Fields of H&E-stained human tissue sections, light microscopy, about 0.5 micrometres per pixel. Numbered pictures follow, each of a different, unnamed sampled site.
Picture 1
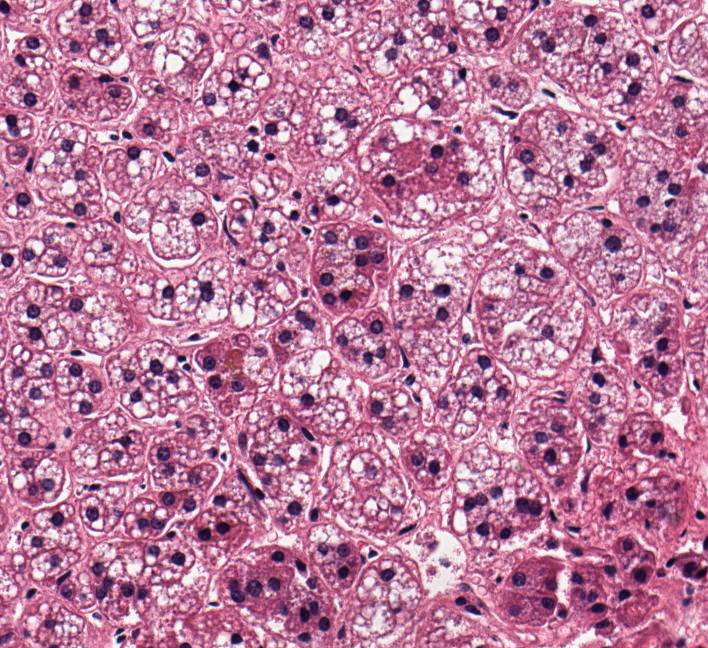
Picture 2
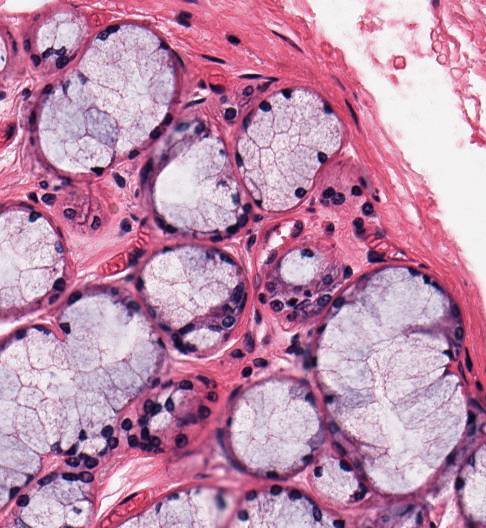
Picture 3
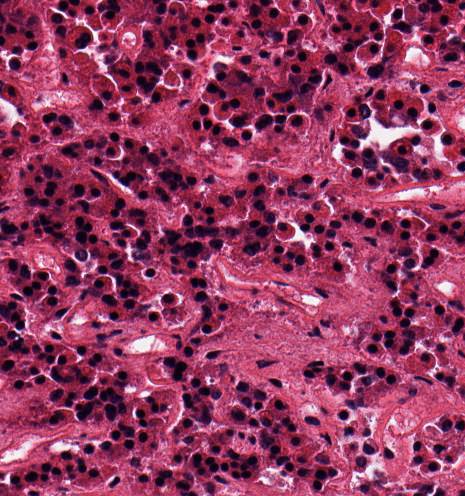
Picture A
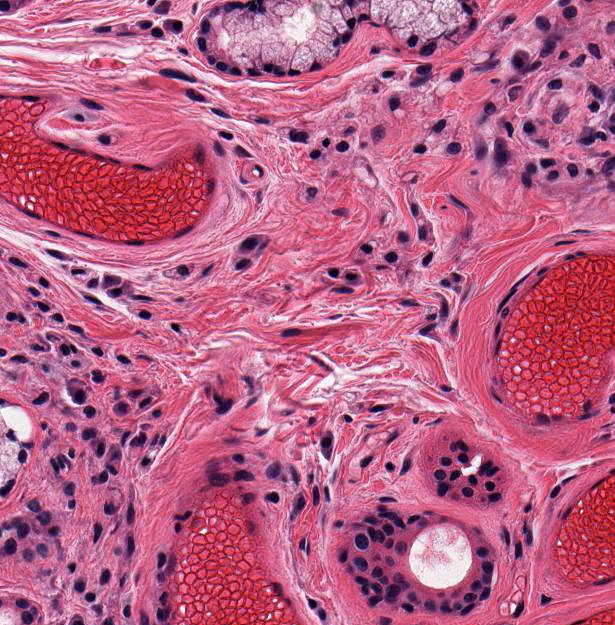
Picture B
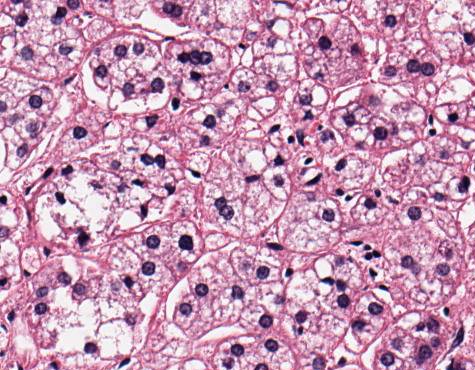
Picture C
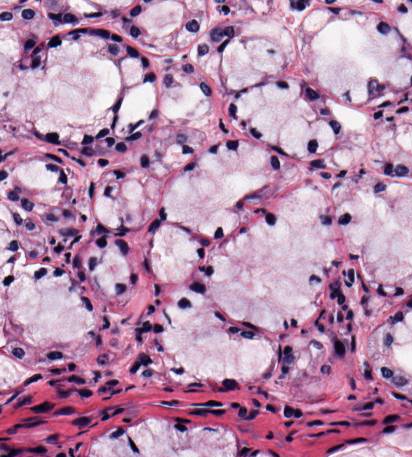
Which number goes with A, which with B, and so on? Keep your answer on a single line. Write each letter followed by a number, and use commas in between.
A 2, B 1, C 2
